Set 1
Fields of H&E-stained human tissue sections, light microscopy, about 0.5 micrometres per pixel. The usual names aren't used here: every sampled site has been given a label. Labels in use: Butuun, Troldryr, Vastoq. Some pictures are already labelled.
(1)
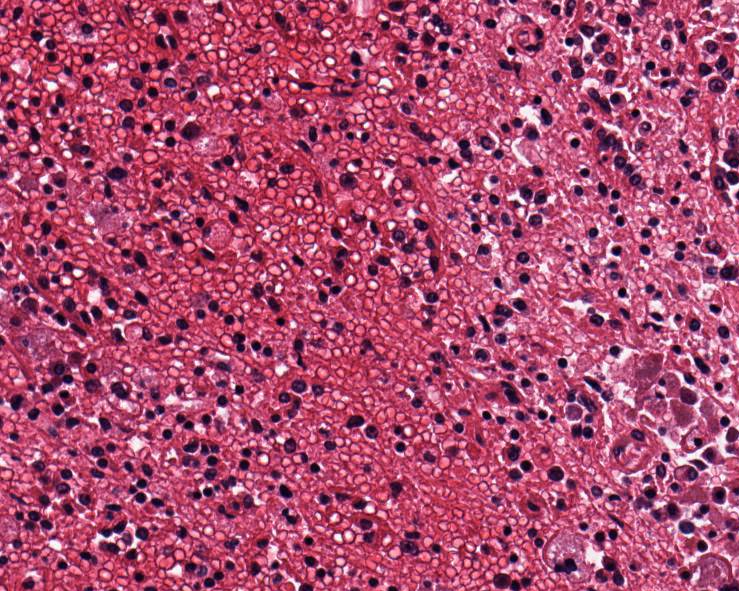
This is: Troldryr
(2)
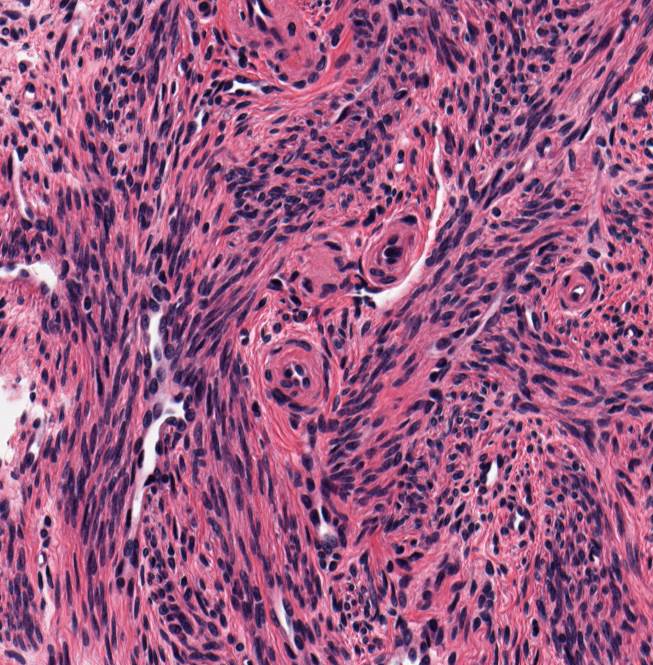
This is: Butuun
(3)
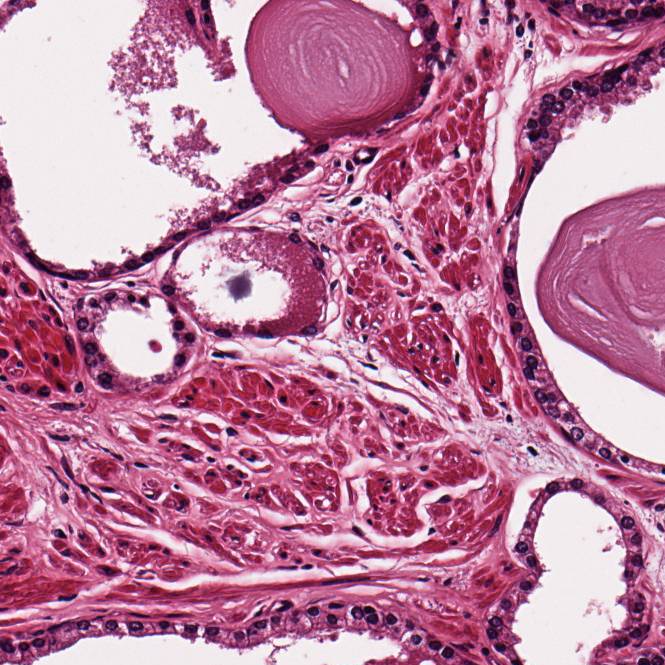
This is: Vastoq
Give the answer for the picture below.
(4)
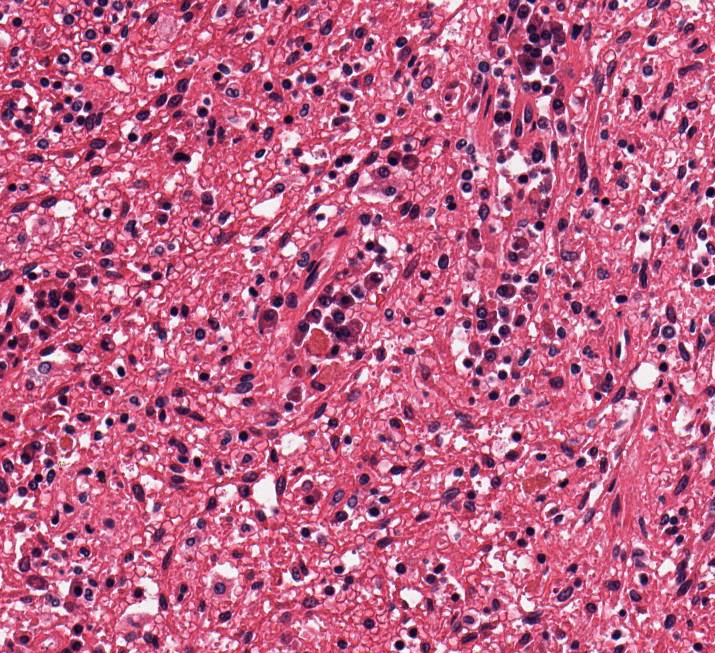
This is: Troldryr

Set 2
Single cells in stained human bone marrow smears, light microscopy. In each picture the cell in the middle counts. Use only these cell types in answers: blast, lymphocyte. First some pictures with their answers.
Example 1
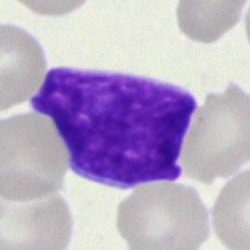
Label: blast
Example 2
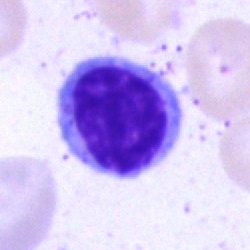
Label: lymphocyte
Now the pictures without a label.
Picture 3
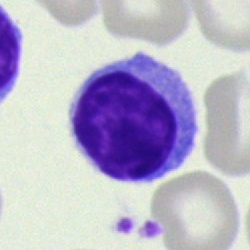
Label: lymphocyte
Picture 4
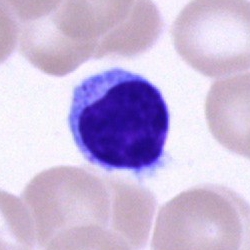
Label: lymphocyte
